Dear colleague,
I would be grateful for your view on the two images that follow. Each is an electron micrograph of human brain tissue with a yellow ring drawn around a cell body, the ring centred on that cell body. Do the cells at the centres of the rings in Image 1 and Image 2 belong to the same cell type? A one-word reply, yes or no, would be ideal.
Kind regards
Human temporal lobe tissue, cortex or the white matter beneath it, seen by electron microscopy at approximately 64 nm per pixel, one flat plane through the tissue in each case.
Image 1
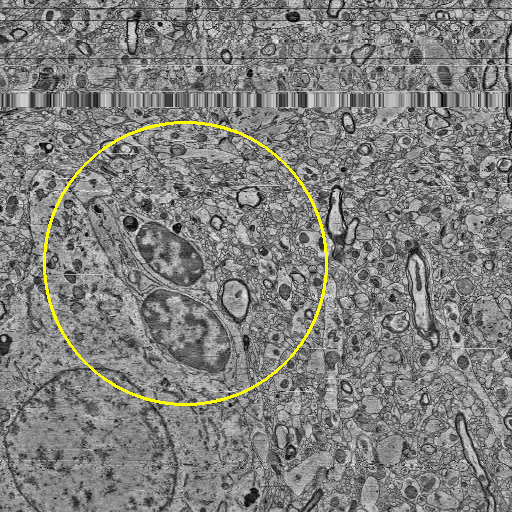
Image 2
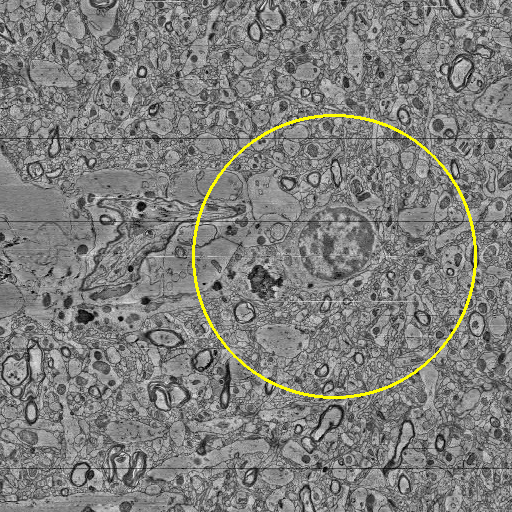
no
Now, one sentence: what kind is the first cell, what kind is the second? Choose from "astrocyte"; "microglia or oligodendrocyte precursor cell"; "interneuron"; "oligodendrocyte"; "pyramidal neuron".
The first picture has a microglial cell or oligodendrocyte precursor cell at its ring centre, and the second has an oligodendrocyte.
